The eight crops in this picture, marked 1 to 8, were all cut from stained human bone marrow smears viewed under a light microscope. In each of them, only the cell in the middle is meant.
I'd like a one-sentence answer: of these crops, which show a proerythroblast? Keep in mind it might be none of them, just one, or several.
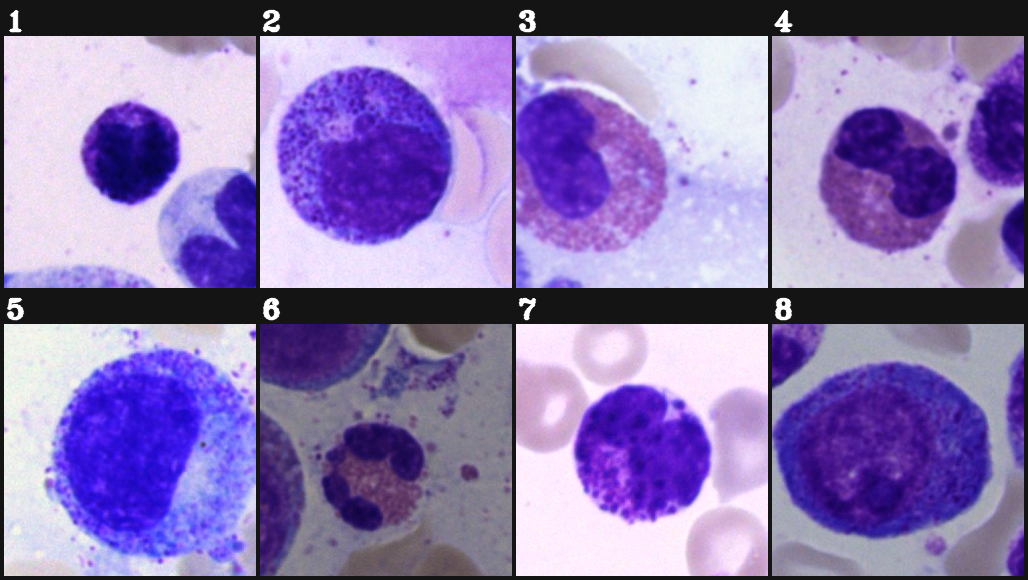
No crop in this set shows a proerythroblast.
